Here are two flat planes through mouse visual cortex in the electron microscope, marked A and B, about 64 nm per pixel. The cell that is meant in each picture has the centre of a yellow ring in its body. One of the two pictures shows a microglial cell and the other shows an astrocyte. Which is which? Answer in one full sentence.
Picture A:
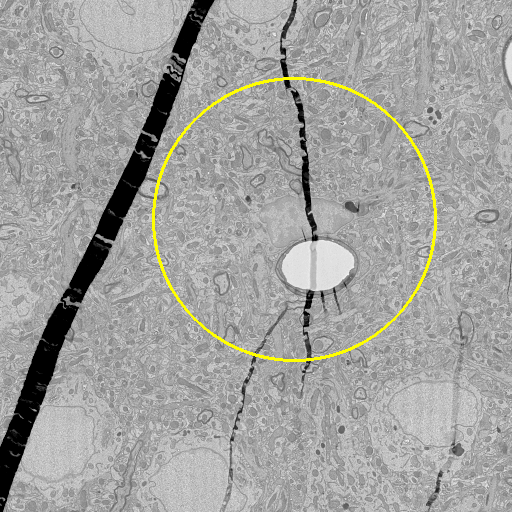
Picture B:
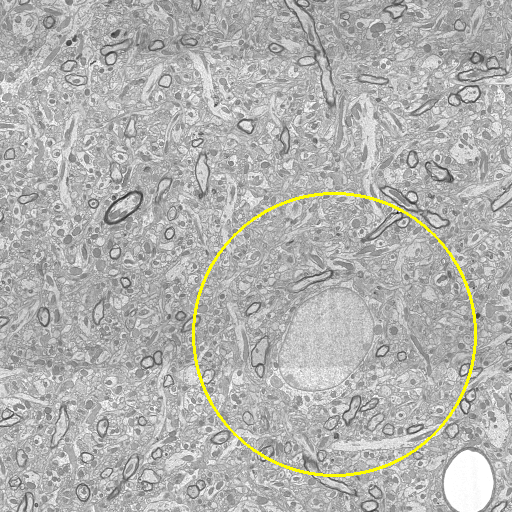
The cell in picture A is a microglial cell, and the one in picture B is an astrocyte.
